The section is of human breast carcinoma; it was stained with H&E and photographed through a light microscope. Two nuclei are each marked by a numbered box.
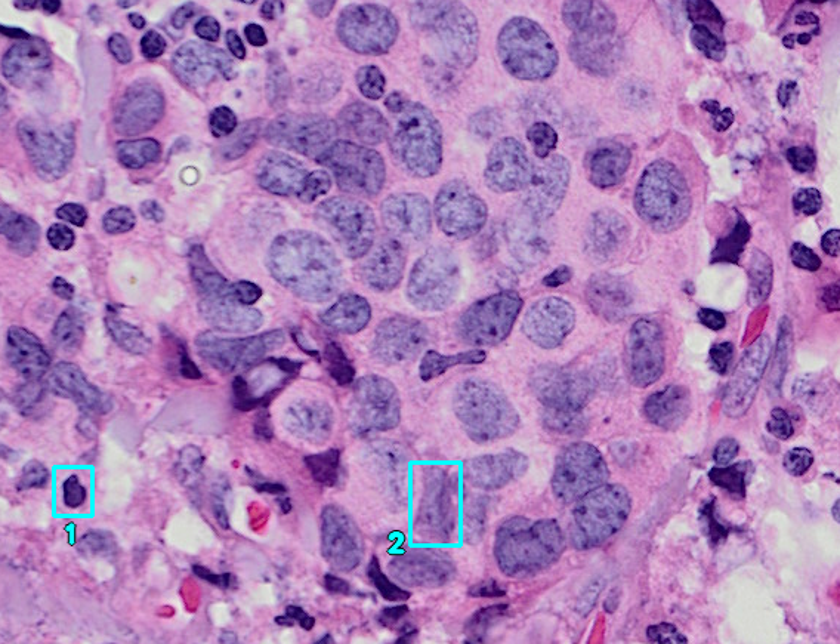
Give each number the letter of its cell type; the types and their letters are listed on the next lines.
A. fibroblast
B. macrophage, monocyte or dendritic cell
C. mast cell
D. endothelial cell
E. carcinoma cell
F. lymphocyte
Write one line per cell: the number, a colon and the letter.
1: F
2: E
